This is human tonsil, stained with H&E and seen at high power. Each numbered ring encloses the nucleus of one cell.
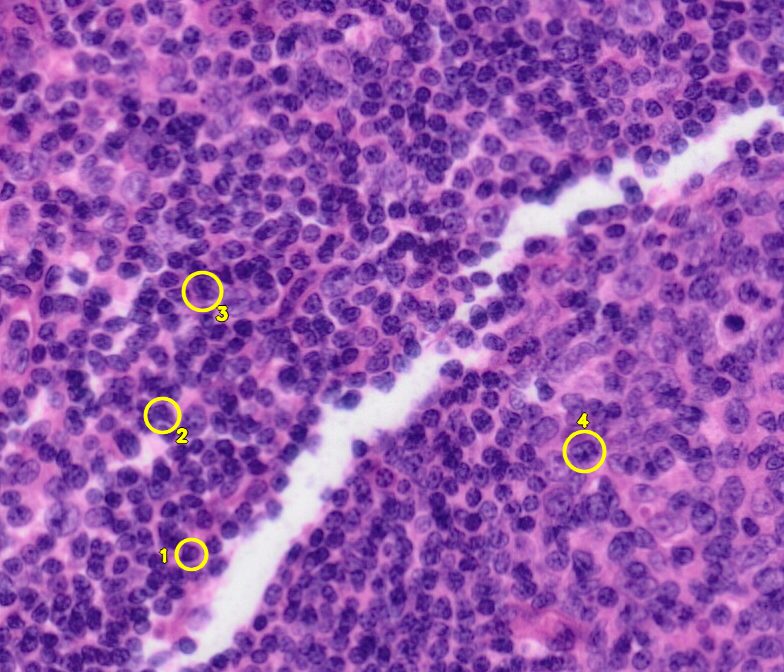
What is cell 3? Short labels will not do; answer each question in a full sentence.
Identified by the number 3, the cell is a small lymphocyte.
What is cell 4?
Number 4 among the marked cells is a proliferating B cell.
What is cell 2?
The marked cell bearing number 2 is a small lymphocyte.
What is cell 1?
The cell indicated with the number 1 is classed as a small lymphocyte.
